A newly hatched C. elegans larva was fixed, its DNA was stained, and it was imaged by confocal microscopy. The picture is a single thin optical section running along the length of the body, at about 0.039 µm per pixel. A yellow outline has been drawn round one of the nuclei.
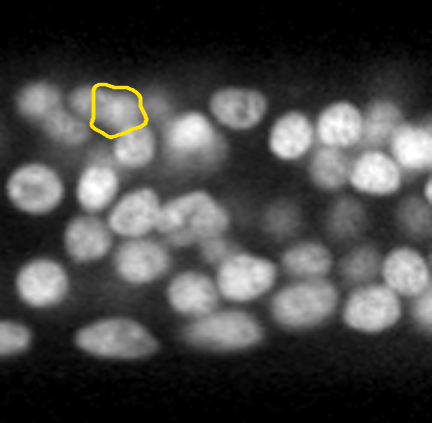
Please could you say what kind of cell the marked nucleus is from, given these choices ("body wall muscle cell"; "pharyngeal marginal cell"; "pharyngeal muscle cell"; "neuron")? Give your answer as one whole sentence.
This is the nucleus of a neuron.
